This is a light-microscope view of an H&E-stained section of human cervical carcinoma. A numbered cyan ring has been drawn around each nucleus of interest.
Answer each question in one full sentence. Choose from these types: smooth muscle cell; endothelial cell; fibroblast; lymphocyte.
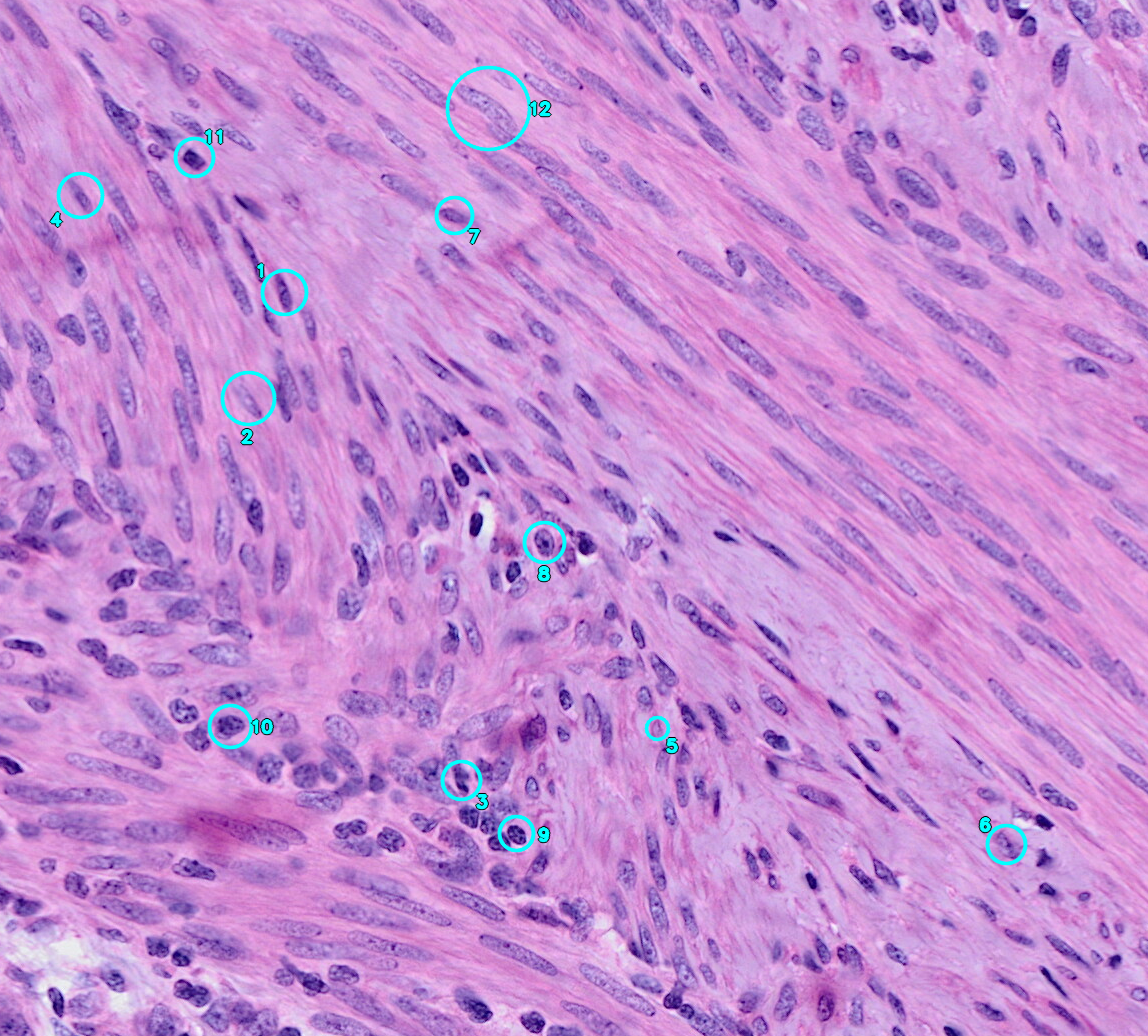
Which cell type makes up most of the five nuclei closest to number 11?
Of the five nuclei nearest to number 11, most belong to fibroblasts.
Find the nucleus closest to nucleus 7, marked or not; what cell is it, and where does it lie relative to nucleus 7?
It is a smooth muscle cell, whose nucleus lies below nucleus 7.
